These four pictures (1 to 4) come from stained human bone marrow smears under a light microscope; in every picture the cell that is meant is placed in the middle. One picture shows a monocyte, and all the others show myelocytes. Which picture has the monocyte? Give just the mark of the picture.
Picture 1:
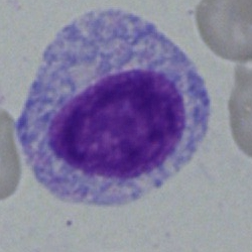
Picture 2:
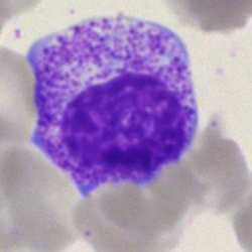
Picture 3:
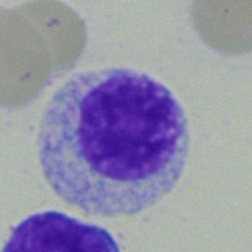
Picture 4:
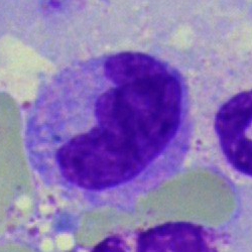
4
